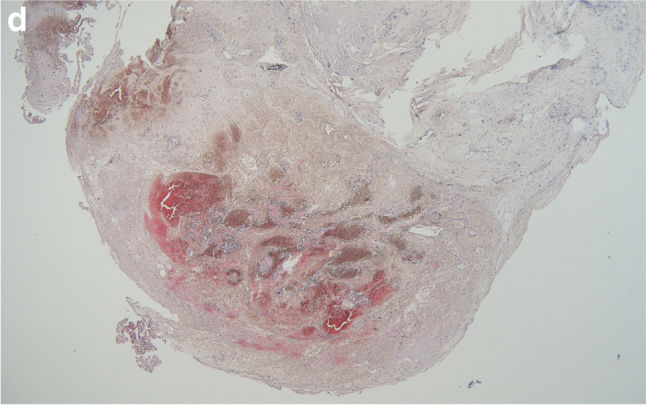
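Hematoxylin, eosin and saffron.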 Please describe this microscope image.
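Low-power view of a rounded, sharply bounded vascular lesion. Irregular vascular channels filled with red blood are clustered in its centre. Wide areas of pale pink-beige fibrous tissue with few nuclei surround them. Frayed, loose tissue strands extend from the upper right edge.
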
